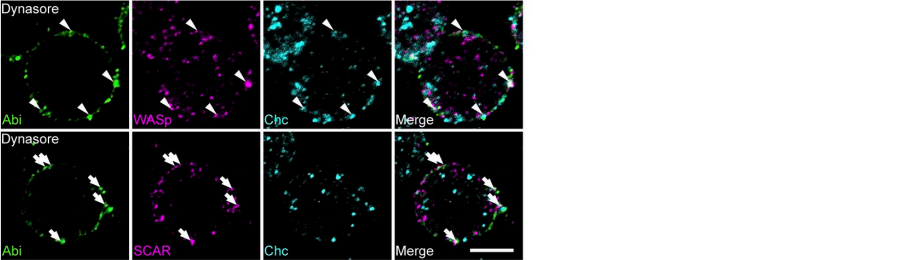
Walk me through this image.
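A single rounded cell is shown in each row, its edge traced by a chain of green dots. Magenta and cyan dots are spread through the cell, and at several places on the edge green dots coincide with magenta dots, some of them also with cyan.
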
